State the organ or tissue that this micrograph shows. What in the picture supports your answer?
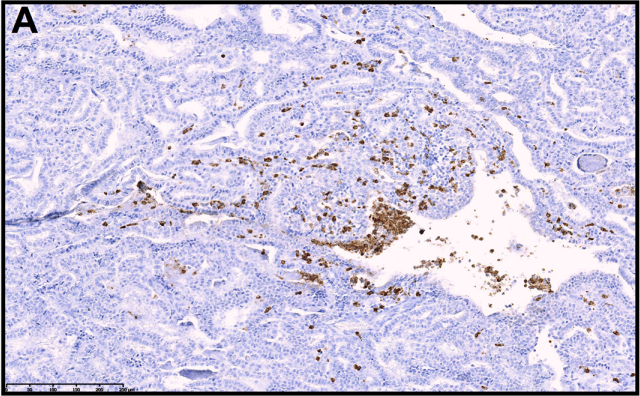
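Papillary thyroid carcinomas. Branching, finger-like fronds lined by epithelial cells fill the field.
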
